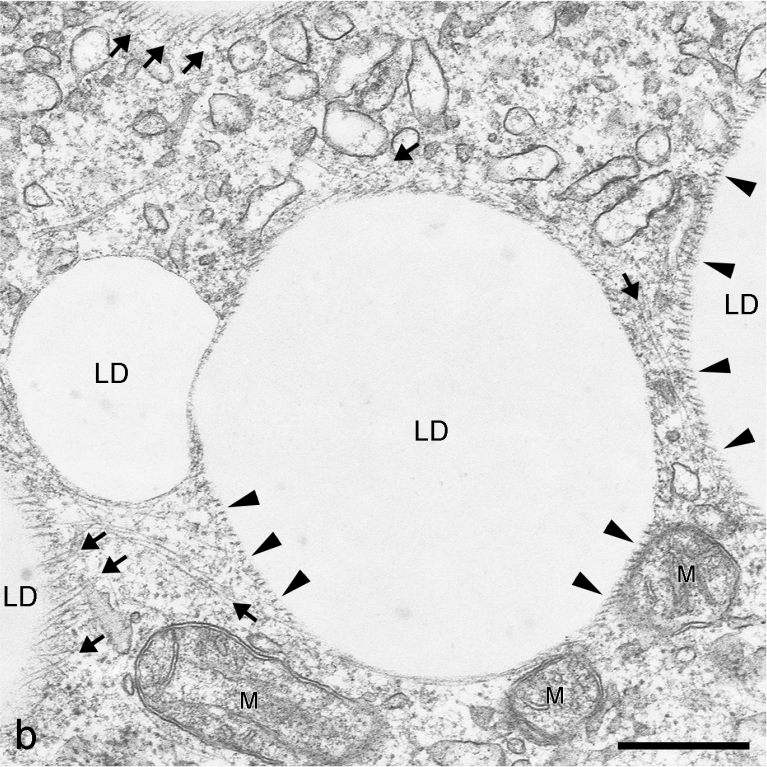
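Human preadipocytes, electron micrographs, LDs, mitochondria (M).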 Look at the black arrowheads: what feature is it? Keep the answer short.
cage-like structures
